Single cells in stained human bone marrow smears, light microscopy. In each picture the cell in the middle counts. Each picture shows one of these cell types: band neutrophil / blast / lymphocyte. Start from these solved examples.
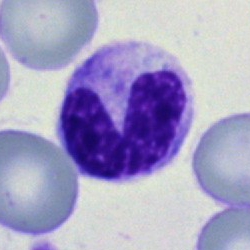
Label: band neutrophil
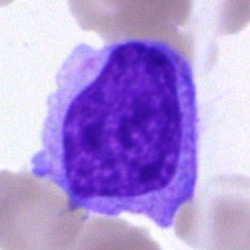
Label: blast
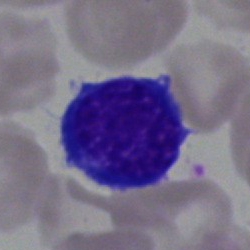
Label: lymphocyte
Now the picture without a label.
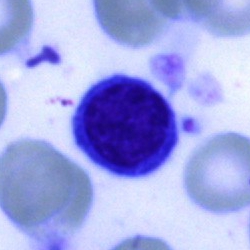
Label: lymphocyte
